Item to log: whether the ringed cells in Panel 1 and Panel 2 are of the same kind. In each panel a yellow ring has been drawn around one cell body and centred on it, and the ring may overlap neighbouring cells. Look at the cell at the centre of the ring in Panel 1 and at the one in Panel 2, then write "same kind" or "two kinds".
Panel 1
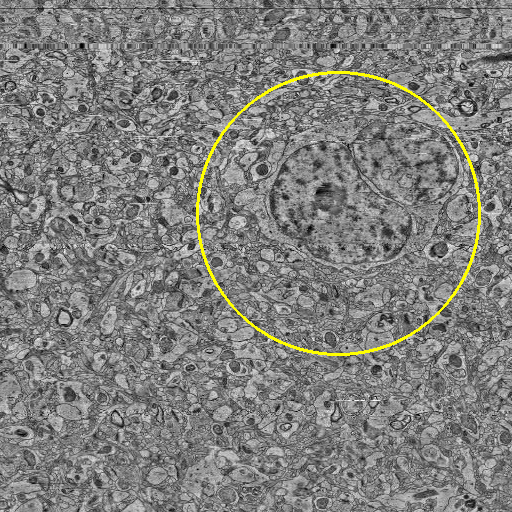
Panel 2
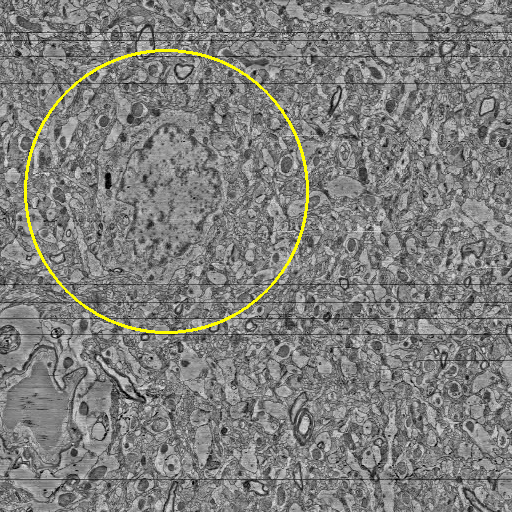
same kind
